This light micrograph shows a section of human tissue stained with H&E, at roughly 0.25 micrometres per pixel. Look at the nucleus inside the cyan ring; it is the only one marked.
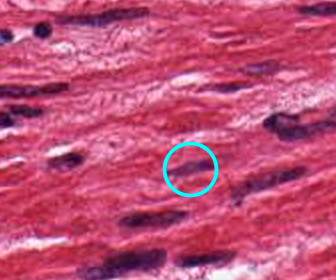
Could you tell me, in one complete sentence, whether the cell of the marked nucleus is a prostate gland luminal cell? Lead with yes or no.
No, the marked nucleus does not belong to a prostate gland luminal cell.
